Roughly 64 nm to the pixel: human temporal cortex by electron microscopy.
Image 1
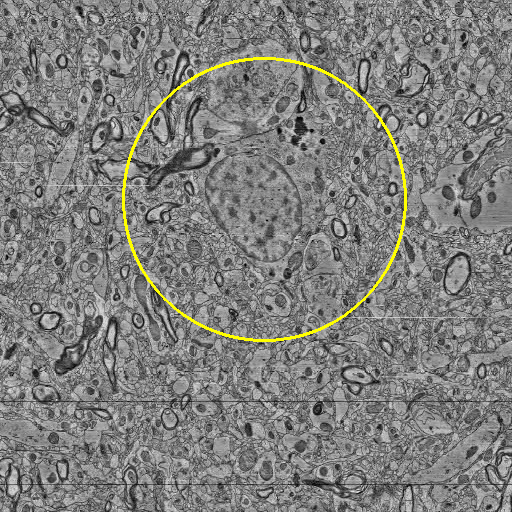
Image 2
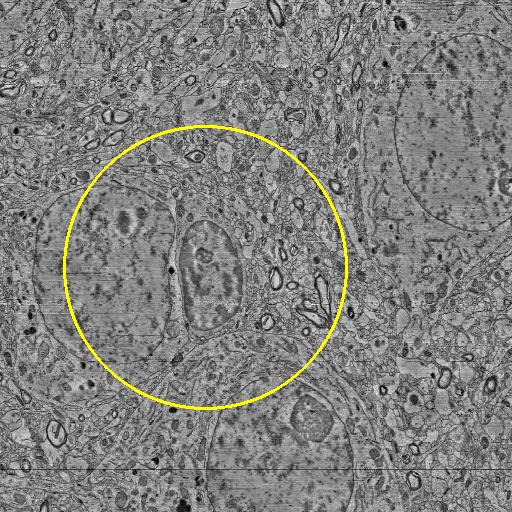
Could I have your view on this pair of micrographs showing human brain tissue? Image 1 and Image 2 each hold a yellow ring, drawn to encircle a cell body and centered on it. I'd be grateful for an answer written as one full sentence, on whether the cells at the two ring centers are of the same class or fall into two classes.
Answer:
The cells at the centers of the two rings are of the same class.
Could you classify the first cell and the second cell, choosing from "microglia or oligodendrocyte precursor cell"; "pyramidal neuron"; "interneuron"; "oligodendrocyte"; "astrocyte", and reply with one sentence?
Each of the two cells is an oligodendrocyte.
